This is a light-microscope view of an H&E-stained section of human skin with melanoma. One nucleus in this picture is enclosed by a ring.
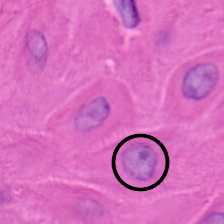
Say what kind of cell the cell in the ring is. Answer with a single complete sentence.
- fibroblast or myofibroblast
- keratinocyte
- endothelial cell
It is as a keratinocyte that the cell in the ring is recorded.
